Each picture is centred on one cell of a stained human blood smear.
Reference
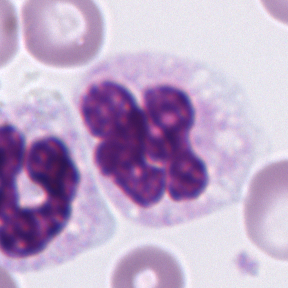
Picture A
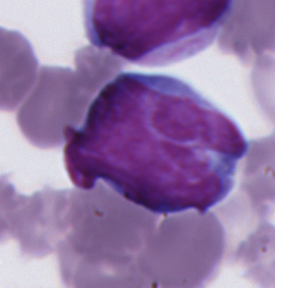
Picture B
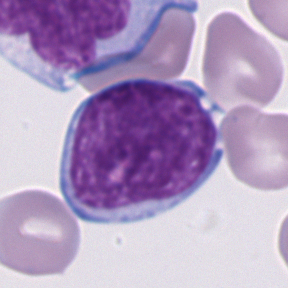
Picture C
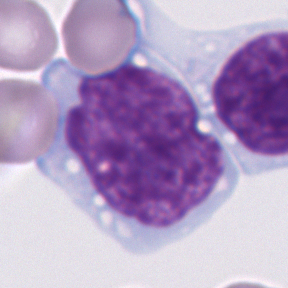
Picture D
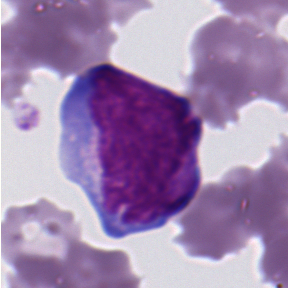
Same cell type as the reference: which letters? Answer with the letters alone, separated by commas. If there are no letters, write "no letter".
no letter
